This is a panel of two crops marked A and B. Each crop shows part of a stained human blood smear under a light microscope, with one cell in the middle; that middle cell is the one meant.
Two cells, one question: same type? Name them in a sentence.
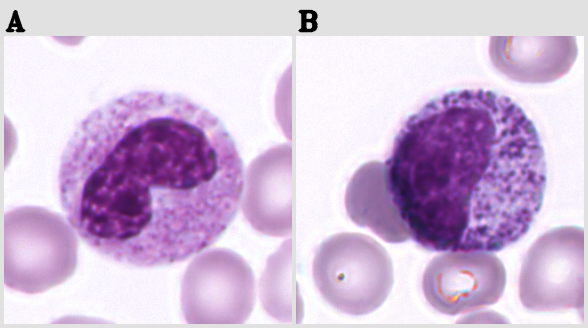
No, a band neutrophil is in crop A, and a metamyelocyte is in crop B.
